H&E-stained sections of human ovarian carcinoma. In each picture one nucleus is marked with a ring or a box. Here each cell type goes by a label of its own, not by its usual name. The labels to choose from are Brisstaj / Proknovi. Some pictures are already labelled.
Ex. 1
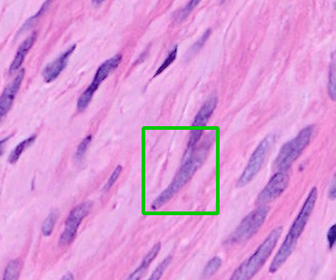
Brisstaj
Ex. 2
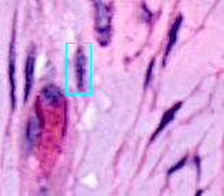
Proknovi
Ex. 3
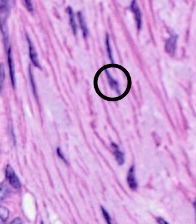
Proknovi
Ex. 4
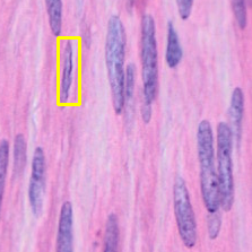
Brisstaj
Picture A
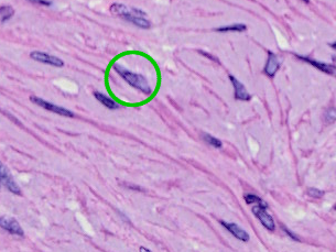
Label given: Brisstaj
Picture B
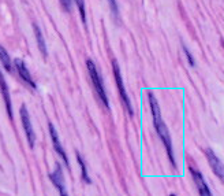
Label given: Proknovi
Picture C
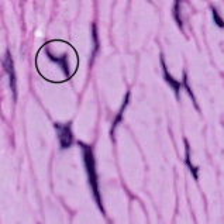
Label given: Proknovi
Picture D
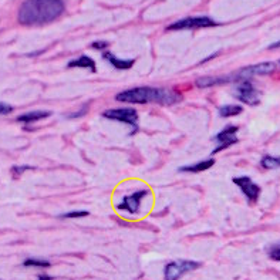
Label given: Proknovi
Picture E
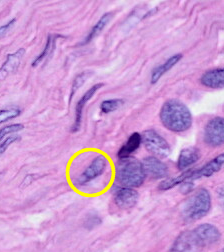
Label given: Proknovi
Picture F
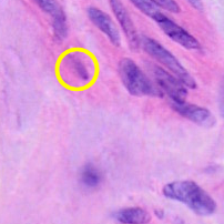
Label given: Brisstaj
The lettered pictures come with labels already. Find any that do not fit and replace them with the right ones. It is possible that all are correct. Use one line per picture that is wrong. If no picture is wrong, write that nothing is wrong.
A should be Proknovi, not Brisstaj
